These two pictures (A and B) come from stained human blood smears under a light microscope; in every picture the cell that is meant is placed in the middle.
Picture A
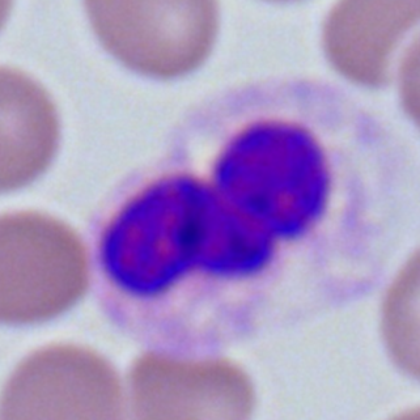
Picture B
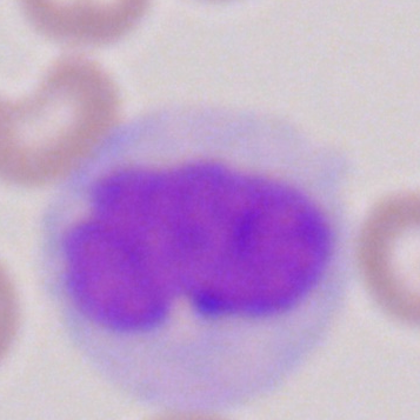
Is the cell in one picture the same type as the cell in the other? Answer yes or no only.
no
